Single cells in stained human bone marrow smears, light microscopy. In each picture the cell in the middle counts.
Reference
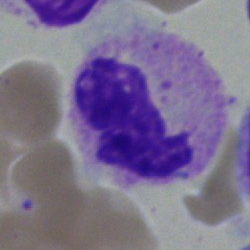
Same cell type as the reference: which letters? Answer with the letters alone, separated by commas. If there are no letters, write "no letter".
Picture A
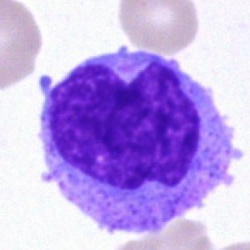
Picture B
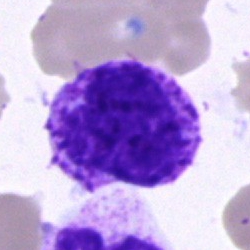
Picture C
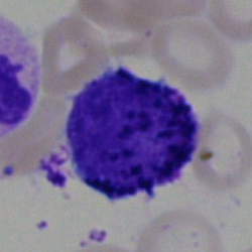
B, C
